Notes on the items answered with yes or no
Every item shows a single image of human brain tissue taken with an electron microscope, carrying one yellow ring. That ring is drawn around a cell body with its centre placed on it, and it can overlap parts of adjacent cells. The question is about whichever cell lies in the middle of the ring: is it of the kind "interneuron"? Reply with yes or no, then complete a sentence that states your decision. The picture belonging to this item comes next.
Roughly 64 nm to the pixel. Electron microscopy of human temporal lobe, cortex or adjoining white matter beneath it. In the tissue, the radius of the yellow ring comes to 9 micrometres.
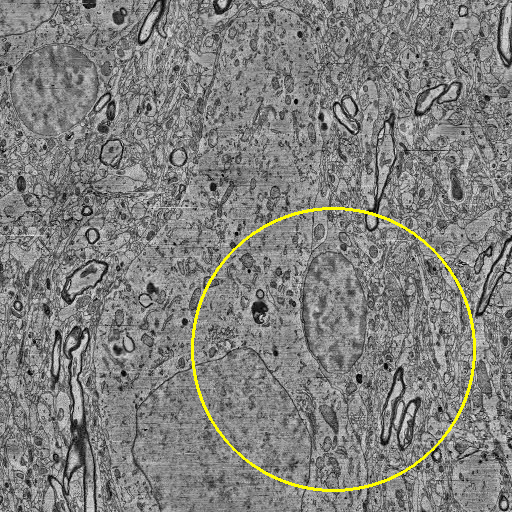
No, this micrograph shows a cell of another kind in the middle of the ring.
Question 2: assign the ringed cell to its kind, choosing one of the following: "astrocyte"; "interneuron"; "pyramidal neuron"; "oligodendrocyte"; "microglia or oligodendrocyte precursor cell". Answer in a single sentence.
Instead, the cell at the centre of the ring is an oligodendrocyte.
